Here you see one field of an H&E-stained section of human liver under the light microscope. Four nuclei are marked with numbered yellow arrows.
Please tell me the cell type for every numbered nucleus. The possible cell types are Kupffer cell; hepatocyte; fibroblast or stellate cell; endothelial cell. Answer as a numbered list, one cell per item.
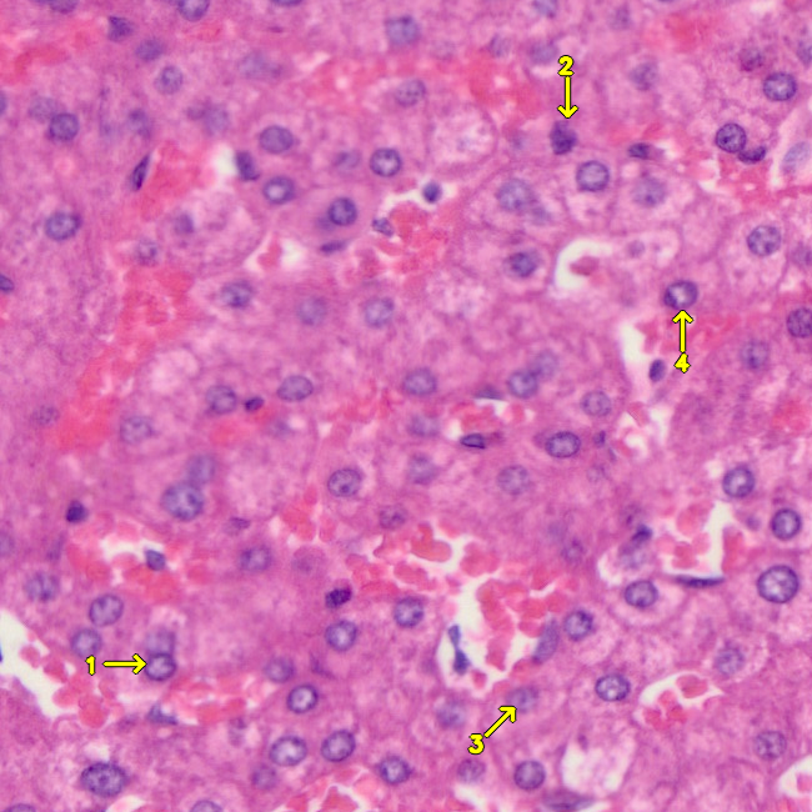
1. hepatocyte
2. fibroblast or stellate cell
3. hepatocyte
4. hepatocyte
